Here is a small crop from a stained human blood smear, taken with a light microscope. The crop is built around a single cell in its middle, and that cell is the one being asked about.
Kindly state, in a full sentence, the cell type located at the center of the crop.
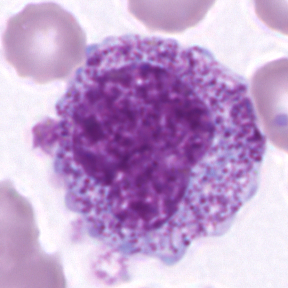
The center cell of this crop is a promyelocyte.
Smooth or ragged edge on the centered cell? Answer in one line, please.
Ragged or projecting, the border of this cell departs from a smooth contour.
